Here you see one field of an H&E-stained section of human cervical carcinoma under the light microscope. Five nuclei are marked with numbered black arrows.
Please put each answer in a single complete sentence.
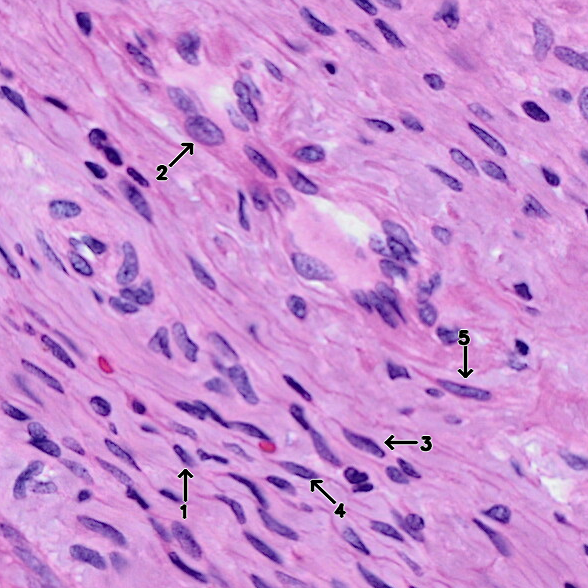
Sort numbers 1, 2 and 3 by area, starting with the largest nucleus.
Going from the biggest nucleus down to the smallest gives 2, 3, 1.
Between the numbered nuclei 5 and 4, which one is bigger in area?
It is nucleus 5, which covers about 1.5 times the area of nucleus 4.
